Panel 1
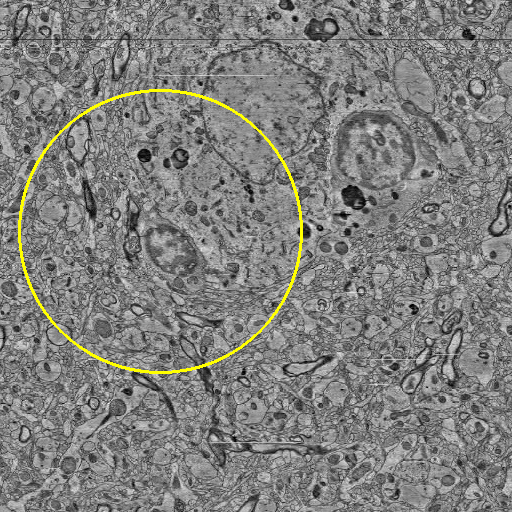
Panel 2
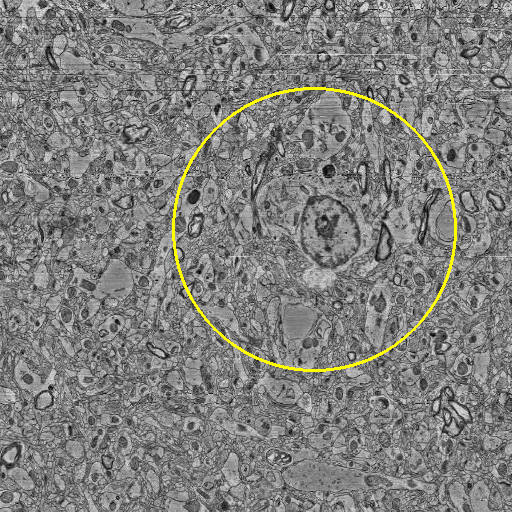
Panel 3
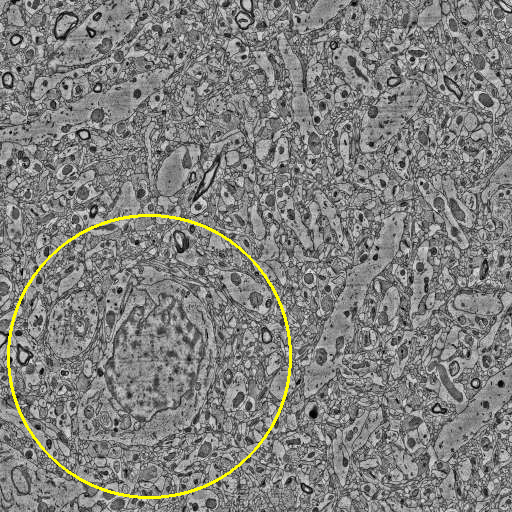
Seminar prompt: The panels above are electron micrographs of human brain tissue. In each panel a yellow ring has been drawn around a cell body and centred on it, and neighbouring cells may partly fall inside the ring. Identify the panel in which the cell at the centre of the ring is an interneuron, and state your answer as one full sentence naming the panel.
Panel 3 has it at the centre of its ring.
